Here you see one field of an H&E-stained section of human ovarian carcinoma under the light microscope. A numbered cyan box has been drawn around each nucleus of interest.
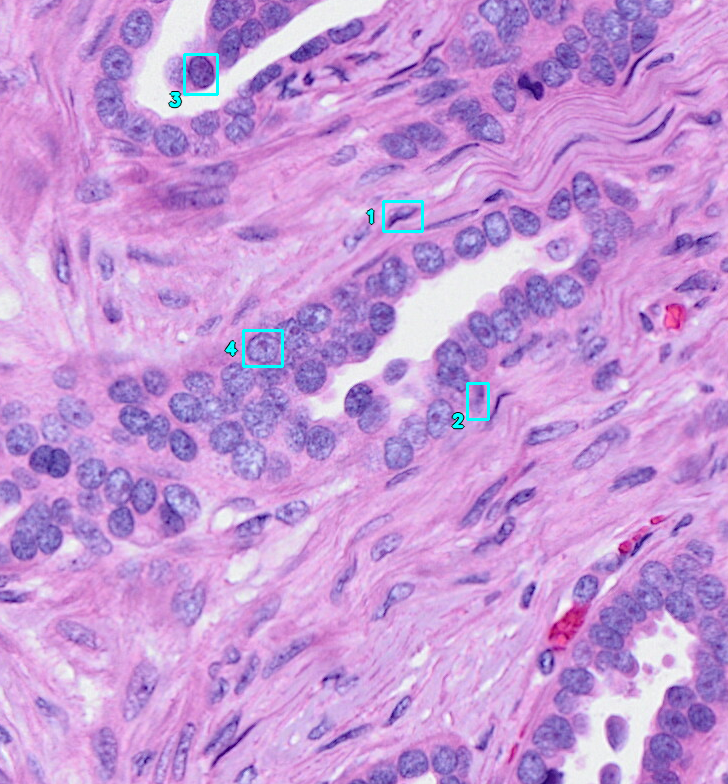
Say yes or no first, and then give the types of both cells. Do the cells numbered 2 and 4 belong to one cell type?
No, as for cell 2, it is a fibroblast, and cell 4 is a carcinoma cell.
